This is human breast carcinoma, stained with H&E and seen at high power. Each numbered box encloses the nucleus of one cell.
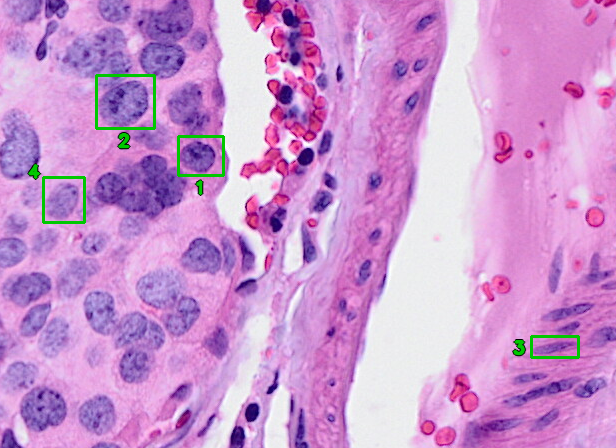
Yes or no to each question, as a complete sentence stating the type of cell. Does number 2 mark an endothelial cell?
No, the cell tagged 2 is a carcinoma cell, and not an endothelial cell.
